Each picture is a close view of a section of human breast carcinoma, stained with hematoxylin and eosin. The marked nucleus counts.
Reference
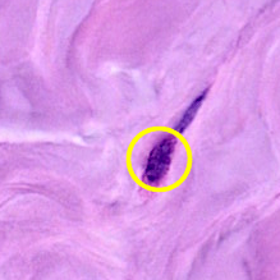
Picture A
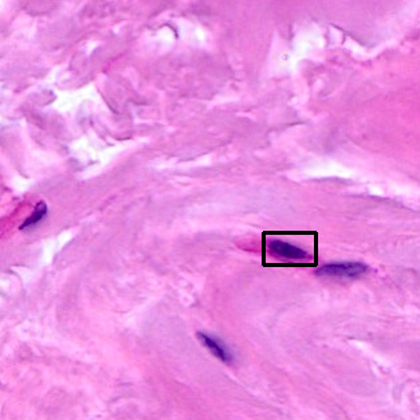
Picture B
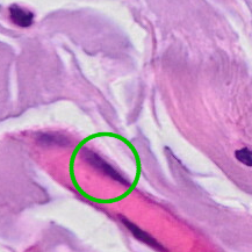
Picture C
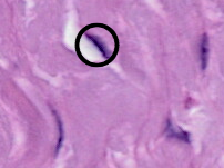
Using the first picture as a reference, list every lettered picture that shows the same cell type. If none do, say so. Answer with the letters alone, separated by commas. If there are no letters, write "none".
A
